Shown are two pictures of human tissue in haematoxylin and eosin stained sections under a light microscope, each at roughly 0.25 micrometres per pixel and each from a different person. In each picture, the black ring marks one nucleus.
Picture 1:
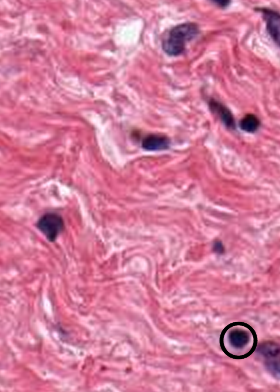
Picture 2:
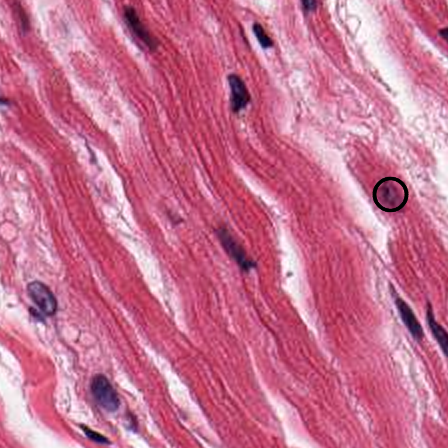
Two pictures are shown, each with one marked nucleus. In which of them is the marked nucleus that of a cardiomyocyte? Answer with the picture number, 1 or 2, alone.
2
